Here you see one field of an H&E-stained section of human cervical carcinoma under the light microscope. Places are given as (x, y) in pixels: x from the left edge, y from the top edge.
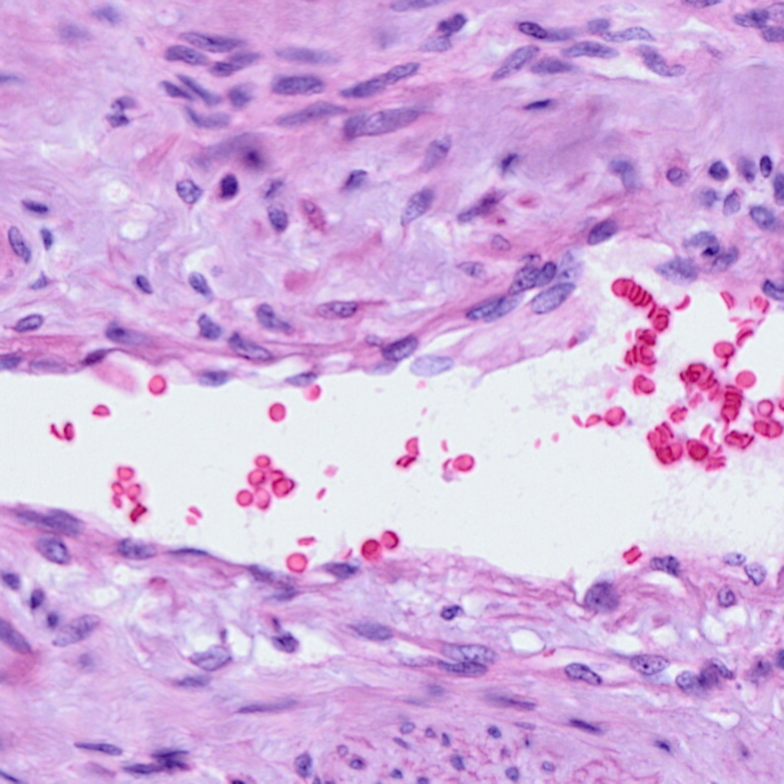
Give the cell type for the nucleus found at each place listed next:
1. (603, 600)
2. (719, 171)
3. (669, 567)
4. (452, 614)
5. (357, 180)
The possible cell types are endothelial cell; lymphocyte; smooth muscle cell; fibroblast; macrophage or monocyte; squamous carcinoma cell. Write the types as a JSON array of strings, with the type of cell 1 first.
["endothelial cell", "lymphocyte", "endothelial cell", "lymphocyte", "fibroblast"]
